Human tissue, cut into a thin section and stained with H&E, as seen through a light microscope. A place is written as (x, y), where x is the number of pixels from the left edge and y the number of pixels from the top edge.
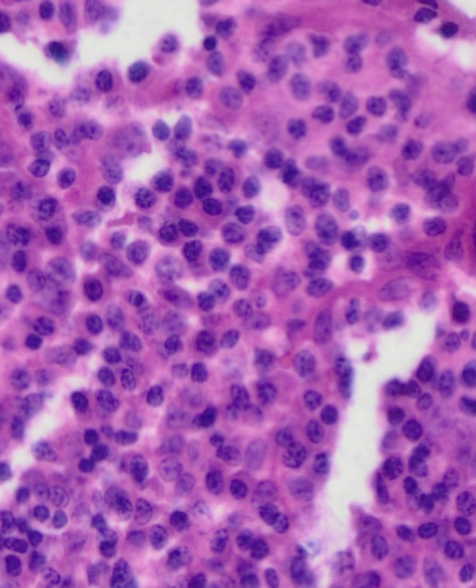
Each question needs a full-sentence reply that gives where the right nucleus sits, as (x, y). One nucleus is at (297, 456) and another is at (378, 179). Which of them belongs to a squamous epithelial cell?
Of the two, the nucleus lying at (378, 179) is the one belonging to a squamous epithelial cell.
